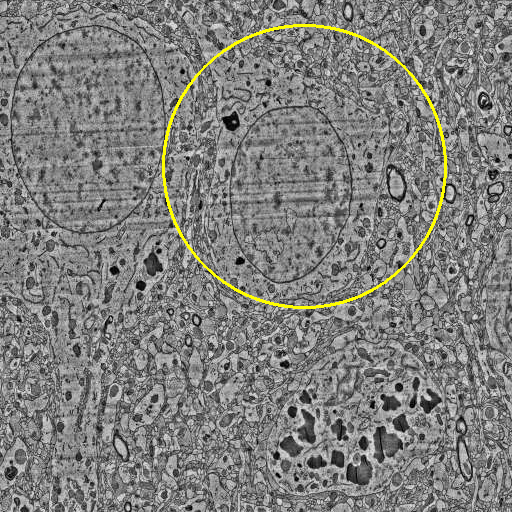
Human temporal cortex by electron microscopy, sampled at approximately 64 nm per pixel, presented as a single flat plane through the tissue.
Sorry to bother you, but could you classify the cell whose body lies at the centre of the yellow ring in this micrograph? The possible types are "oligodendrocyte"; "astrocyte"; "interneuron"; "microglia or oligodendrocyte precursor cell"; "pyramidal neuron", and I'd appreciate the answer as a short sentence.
The ringed cell body is that of a pyramidal neuron.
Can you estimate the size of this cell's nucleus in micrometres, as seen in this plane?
In this plane, approximately 11 by 8 micrometers.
